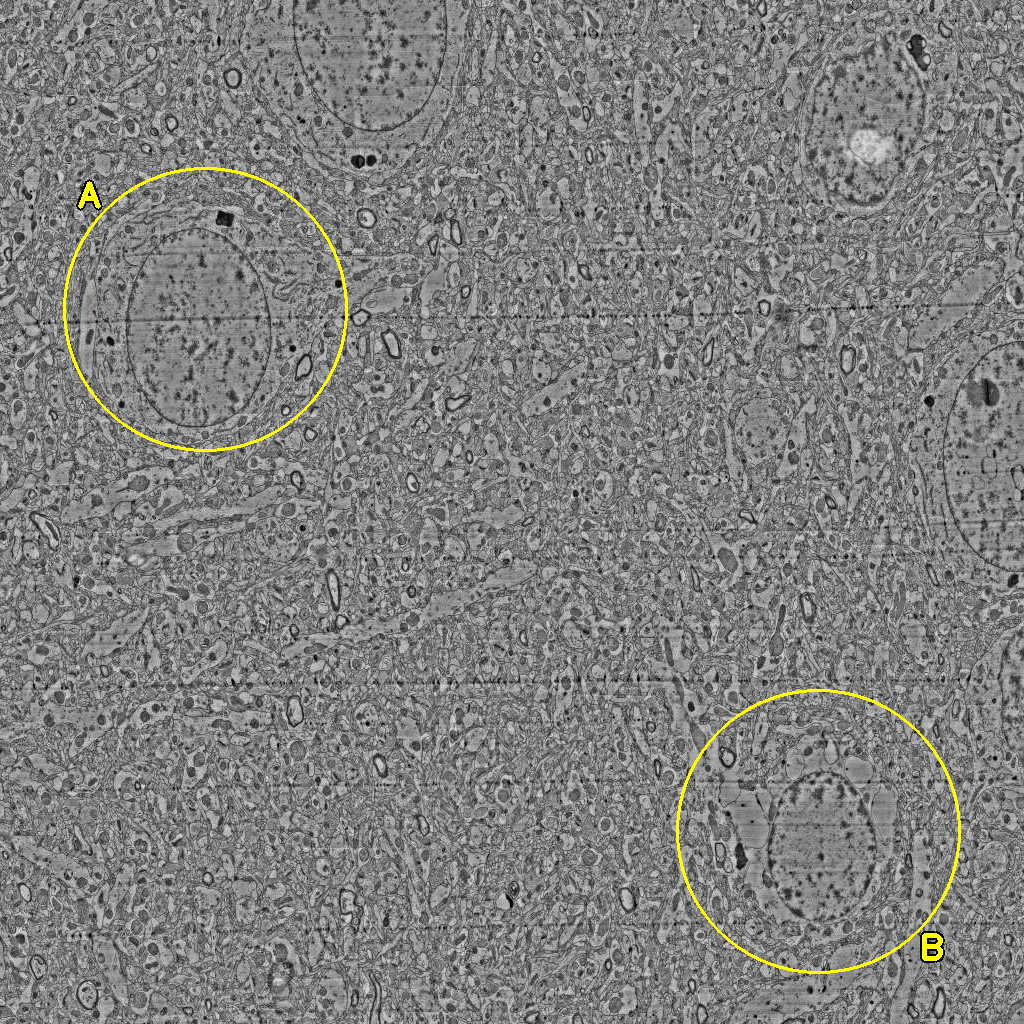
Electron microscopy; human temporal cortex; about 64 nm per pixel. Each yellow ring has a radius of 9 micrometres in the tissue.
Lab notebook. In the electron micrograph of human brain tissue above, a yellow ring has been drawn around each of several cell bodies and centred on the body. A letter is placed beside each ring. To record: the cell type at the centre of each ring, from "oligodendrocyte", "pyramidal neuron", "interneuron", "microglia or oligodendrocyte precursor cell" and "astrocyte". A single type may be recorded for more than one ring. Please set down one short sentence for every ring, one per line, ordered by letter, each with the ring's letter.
The centre of ring A is occupied by a pyramidal neuron.
The centre of ring B is occupied by an astrocyte.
